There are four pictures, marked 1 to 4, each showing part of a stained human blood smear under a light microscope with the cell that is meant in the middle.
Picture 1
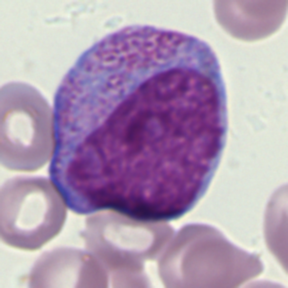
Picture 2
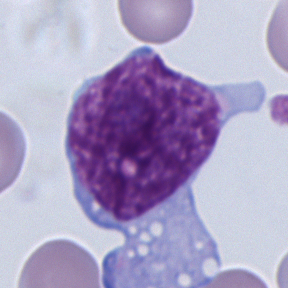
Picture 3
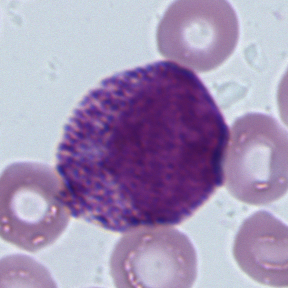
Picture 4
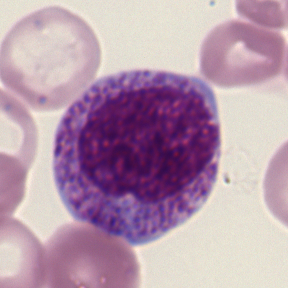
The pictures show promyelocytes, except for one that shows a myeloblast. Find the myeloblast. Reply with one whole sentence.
The picture with the myeloblast is 2.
